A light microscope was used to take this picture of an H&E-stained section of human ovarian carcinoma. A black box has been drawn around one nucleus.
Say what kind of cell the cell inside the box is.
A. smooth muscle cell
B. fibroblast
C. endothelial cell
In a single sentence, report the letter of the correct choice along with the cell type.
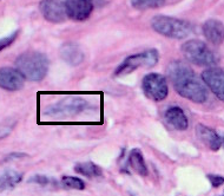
In this item, the cell inside the box is a fibroblast, and option B is right.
